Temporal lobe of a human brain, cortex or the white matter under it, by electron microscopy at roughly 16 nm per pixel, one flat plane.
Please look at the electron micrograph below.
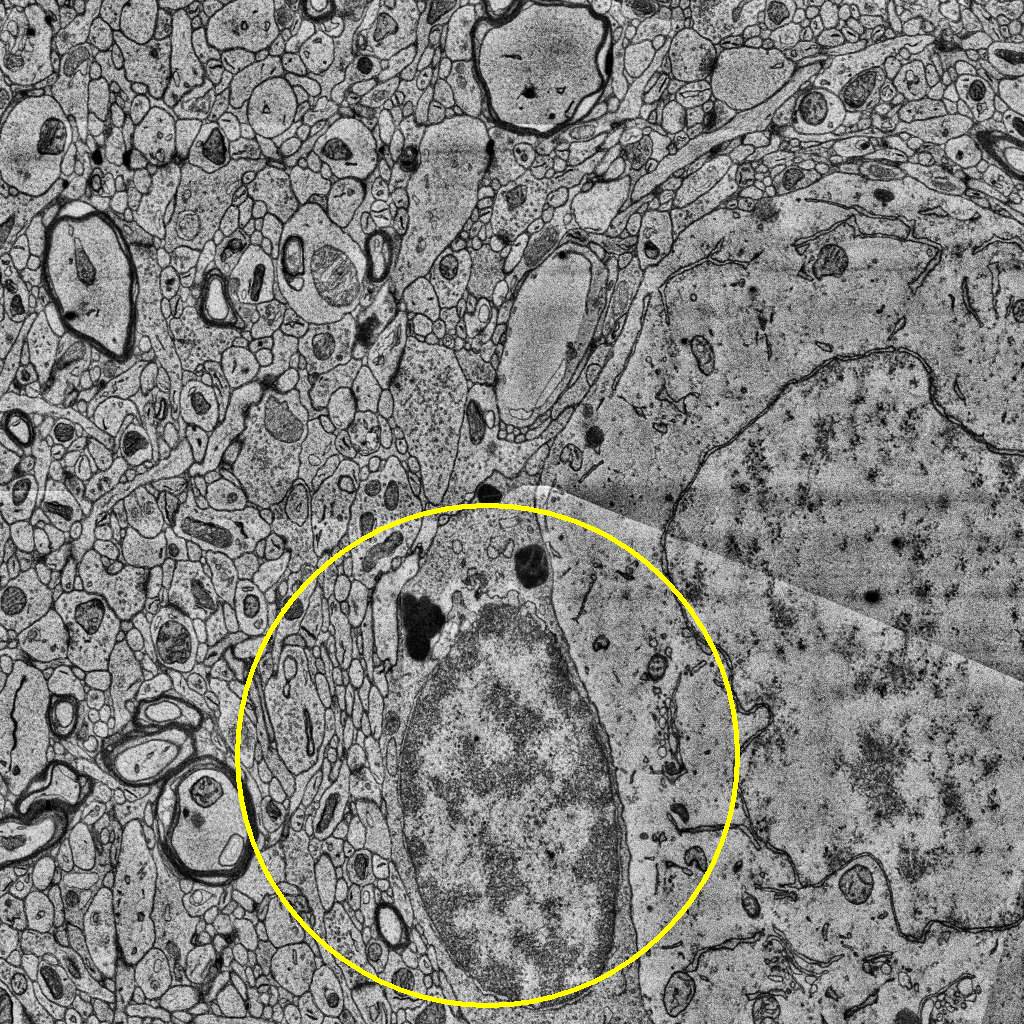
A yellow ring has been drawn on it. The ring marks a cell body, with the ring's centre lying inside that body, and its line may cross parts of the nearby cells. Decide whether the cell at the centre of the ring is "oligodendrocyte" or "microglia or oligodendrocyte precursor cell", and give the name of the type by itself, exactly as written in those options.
oligodendrocyte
